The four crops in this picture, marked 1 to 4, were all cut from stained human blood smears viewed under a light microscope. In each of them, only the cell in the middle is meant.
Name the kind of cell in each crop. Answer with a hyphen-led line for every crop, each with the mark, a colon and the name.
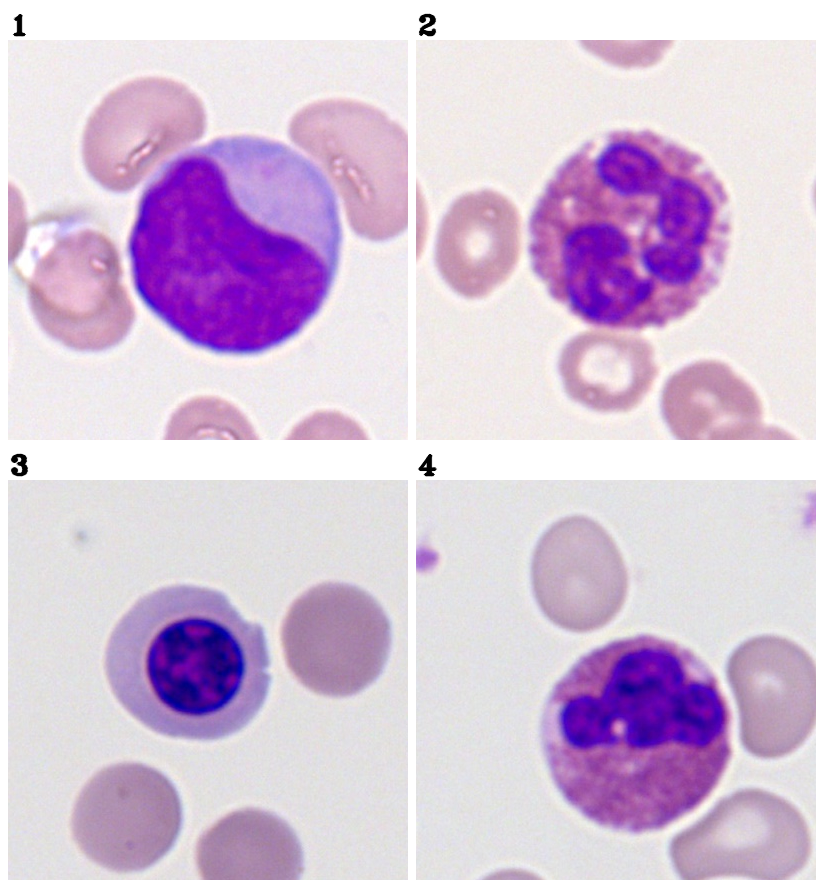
- 1: myeloblast
- 2: eosinophil
- 3: erythroblast
- 4: eosinophil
